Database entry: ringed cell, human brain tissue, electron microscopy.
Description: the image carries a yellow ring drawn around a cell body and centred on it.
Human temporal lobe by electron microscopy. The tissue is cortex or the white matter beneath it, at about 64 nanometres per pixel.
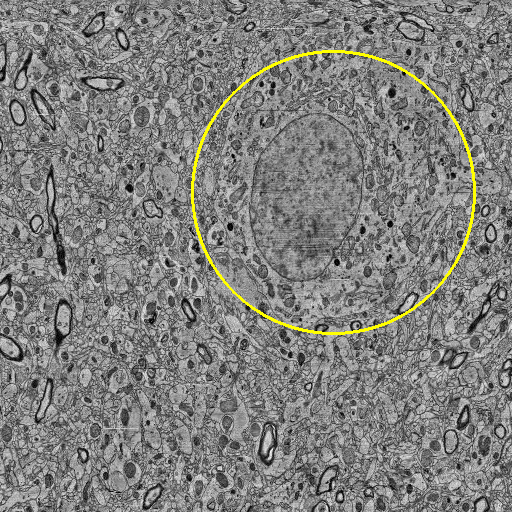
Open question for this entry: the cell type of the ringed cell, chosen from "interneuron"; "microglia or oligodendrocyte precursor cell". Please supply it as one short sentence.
The ringed cell is an interneuron.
